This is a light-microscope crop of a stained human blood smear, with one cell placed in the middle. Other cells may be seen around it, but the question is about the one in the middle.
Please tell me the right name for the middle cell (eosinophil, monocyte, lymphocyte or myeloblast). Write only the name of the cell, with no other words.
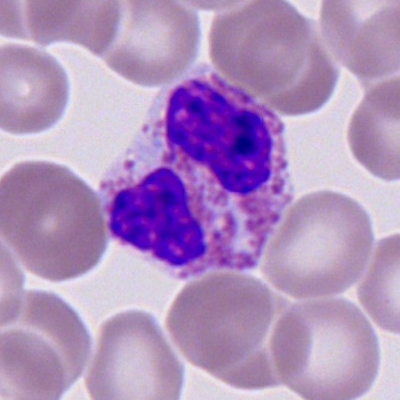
eosinophil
